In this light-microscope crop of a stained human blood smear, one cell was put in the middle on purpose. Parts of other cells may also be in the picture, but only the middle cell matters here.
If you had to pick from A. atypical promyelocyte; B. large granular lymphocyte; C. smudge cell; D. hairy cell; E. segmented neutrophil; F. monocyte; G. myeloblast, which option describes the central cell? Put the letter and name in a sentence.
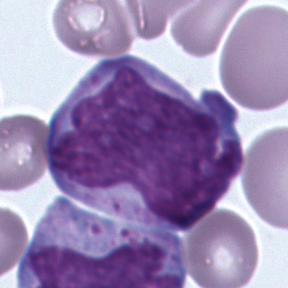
The one to choose is option A, as the cell in the middle is an atypical promyelocyte.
